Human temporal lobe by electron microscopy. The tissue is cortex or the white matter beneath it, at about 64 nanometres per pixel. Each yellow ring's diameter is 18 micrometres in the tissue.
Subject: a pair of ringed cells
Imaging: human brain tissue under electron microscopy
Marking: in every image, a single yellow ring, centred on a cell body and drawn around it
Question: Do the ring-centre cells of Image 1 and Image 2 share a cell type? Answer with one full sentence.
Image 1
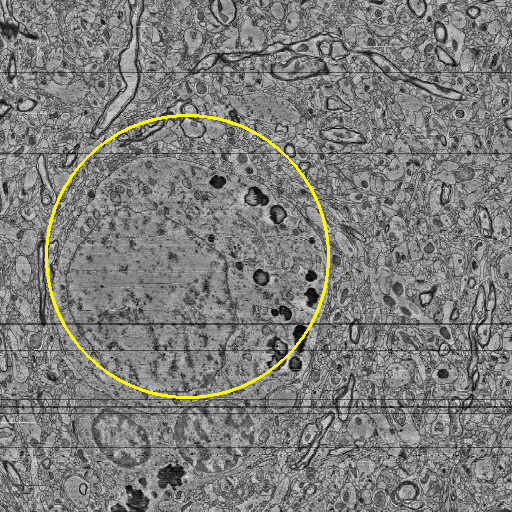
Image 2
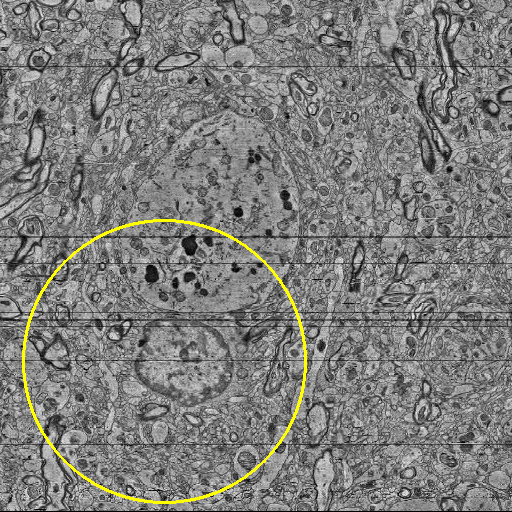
No, at the ring centres in the images sit cells of two separate types.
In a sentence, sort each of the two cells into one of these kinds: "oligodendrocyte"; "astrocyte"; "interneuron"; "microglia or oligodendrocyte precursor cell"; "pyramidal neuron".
The first of the two cells is a pyramidal neuron, and the second is an oligodendrocyte.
